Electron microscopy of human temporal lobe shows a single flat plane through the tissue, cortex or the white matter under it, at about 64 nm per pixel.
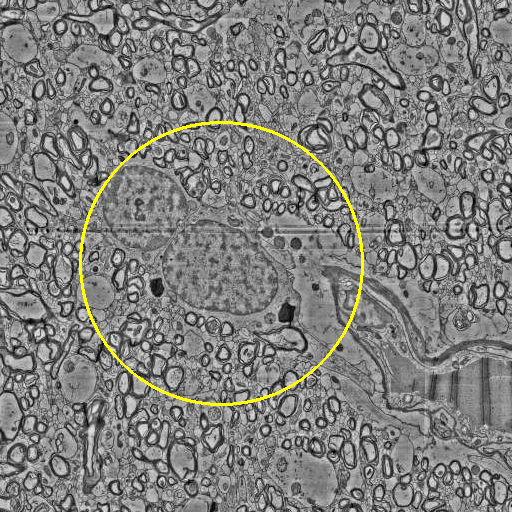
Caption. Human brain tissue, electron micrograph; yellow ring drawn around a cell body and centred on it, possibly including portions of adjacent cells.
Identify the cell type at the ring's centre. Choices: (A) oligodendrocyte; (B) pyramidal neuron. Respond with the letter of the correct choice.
A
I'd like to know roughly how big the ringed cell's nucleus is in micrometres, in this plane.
Roughly 7 by 6 micrometres is the size of the nucleus in this plane.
